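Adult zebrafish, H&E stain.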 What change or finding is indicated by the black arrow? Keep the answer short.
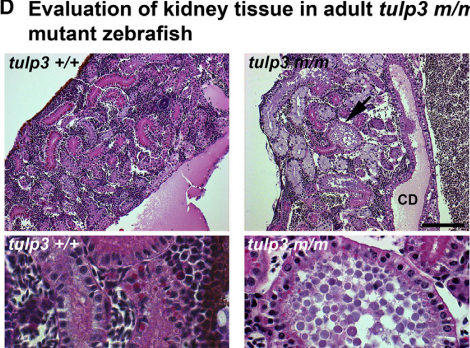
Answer: Cysts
